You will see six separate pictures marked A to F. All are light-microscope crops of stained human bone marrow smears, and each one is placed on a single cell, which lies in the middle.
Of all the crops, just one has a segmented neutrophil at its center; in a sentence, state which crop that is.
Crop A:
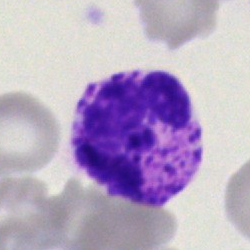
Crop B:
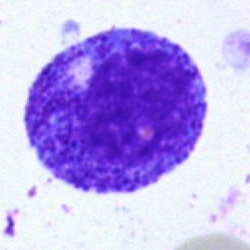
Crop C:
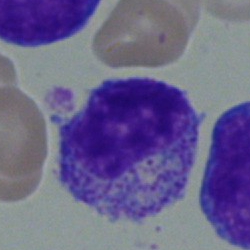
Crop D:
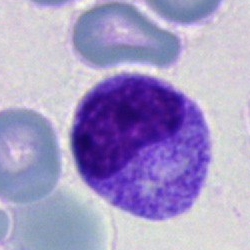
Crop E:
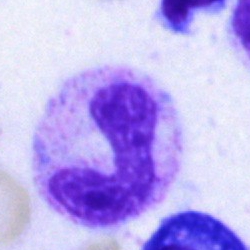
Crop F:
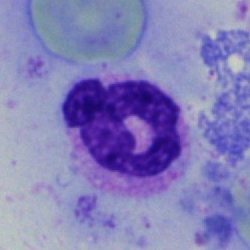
Crop F is the single crop that shows a segmented neutrophil.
